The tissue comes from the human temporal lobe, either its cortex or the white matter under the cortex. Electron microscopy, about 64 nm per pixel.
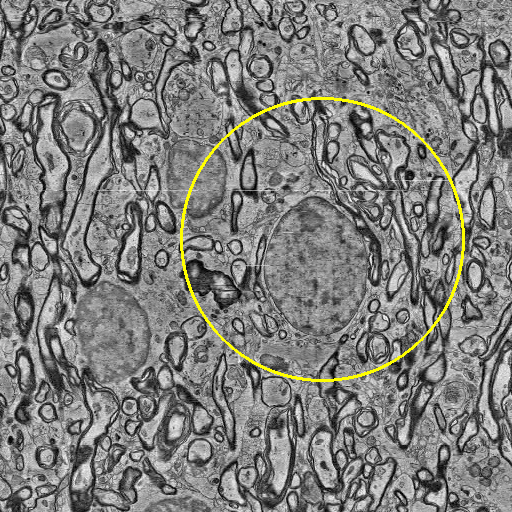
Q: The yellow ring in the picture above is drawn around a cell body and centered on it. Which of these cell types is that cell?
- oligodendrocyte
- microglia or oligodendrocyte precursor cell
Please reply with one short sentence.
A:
The cell body at the ring's center belongs to a microglial cell or oligodendrocyte precursor cell.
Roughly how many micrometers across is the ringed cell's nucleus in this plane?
In this plane, approximately 9 by 7 micrometers.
